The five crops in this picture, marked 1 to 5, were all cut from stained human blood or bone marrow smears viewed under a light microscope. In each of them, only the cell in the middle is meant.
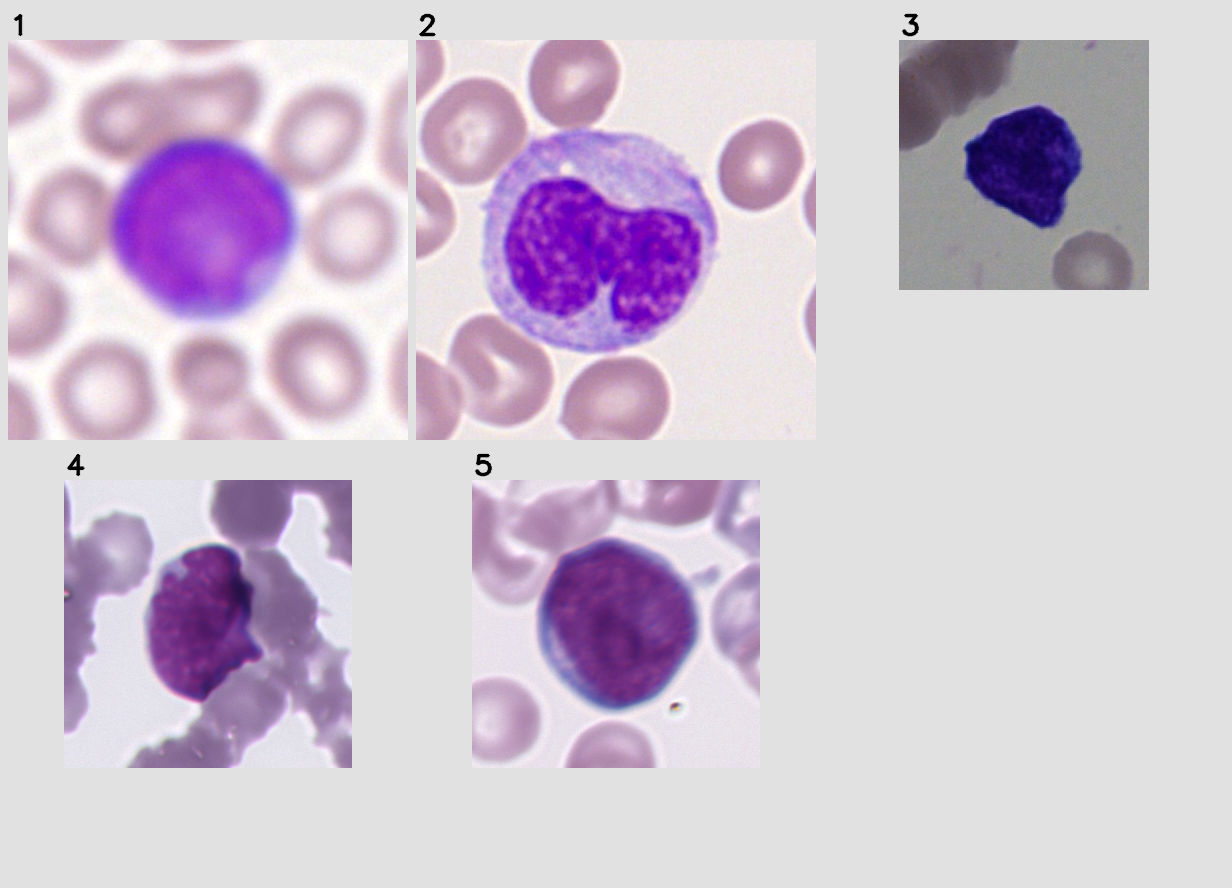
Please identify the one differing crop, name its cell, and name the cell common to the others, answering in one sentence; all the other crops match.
Where the others show blasts, crop 2 shows a monocyte.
